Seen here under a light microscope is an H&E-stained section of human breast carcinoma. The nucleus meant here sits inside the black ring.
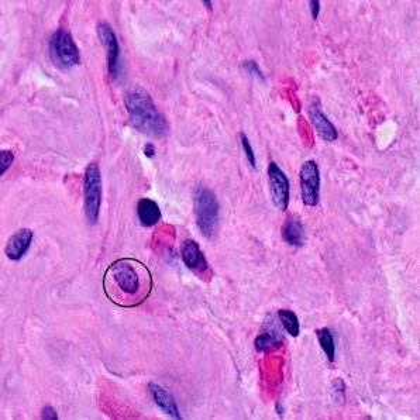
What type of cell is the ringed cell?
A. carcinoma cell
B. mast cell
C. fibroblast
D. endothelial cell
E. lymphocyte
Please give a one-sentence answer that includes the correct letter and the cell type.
Option B is the right choice, for the ringed cell is a mast cell.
